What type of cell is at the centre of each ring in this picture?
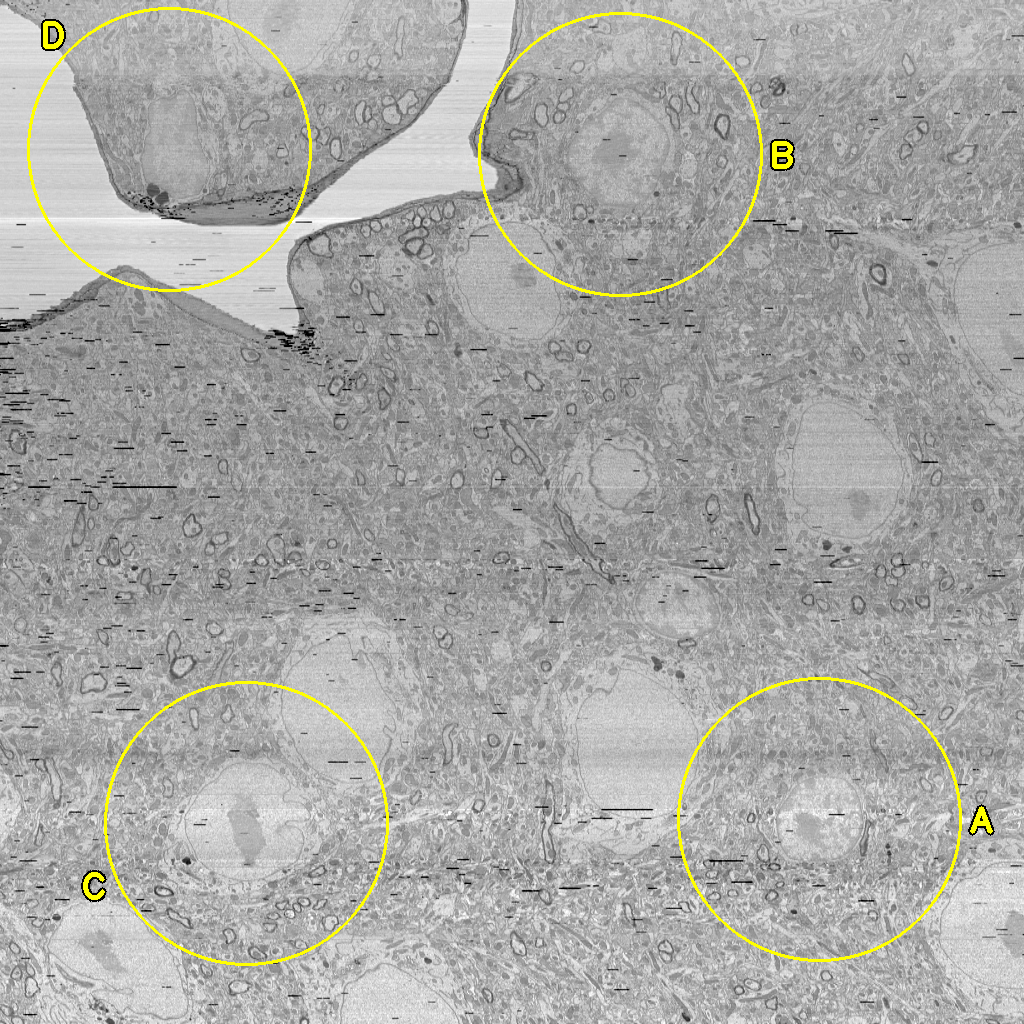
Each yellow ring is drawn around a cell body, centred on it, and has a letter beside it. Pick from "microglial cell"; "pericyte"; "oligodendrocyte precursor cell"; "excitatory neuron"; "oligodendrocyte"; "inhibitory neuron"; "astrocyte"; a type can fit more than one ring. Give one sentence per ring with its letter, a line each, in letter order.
The ring marked A is centred on an oligodendrocyte.
The ring marked B is centred on an oligodendrocyte.
The ring marked C is centred on an excitatory neuron.
The ring marked D is centred on a microglial cell.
